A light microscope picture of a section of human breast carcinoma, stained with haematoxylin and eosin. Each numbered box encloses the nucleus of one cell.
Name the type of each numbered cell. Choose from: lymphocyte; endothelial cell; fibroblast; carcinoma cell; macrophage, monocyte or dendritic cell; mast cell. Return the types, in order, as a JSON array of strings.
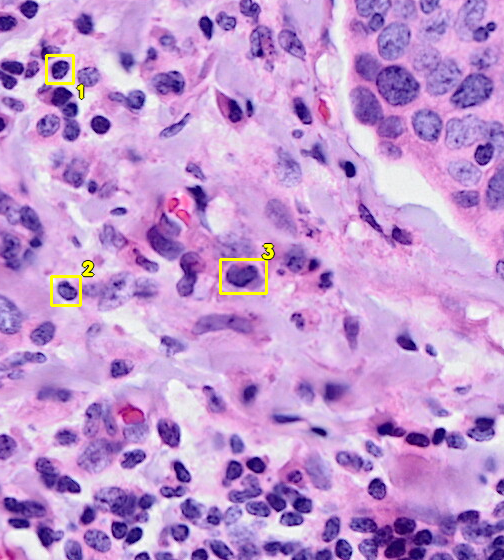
["lymphocyte", "lymphocyte", "carcinoma cell"]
